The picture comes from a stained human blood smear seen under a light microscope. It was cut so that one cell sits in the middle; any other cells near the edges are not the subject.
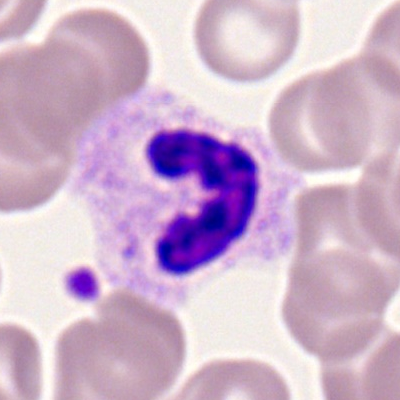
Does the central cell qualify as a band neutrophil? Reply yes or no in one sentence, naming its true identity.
Yes, the central element of the crop is a band neutrophil.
